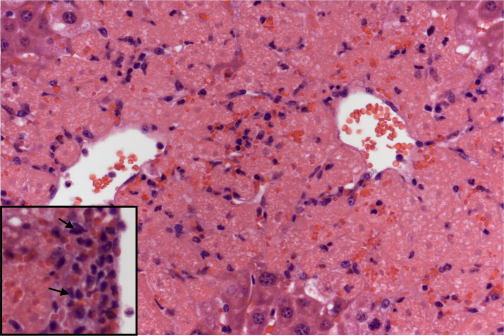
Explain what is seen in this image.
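Liver tissue in which the hepatocytes around the central veins have undergone coagulative necrosis. The hepatocytes here are pale pink, with granular or cleared cytoplasm, and many have lost their nuclei or show shrunken, dark ones. Red blood cells are scattered between the plates of hepatocytes and crowd the lumina of two veins. Numerous small inflammatory cells with dense, dark purple nuclei and little cytoplasm lie among the damaged hepatocytes. The inset, enlarged, shows these inflammatory cells packed closely beside the vein wall, arrows marking two of them.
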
